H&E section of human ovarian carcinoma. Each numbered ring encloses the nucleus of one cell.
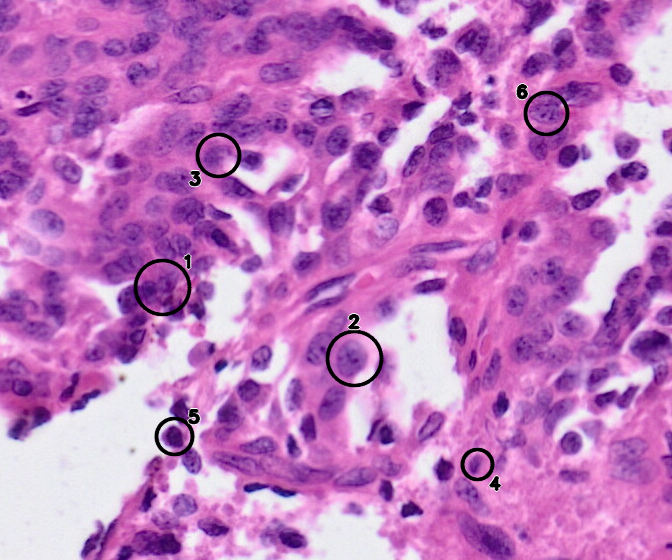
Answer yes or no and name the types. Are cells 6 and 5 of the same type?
No, cell 6 here is an endothelial cell and cell 5 here is a carcinoma cell.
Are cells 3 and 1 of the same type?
Yes, cell number 3 and cell number 1 are both carcinoma cells.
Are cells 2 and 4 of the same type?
No; cell 2 is a carcinoma cell, whereas cell 4 is a macrophage or monocyte.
